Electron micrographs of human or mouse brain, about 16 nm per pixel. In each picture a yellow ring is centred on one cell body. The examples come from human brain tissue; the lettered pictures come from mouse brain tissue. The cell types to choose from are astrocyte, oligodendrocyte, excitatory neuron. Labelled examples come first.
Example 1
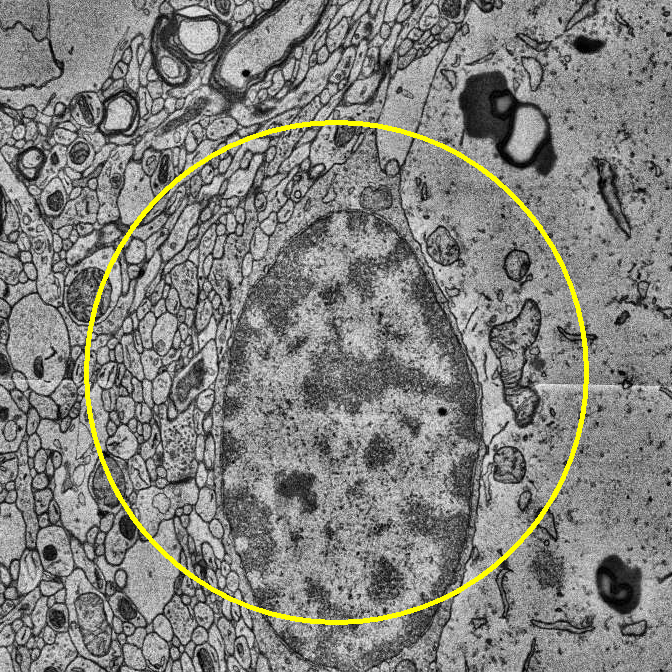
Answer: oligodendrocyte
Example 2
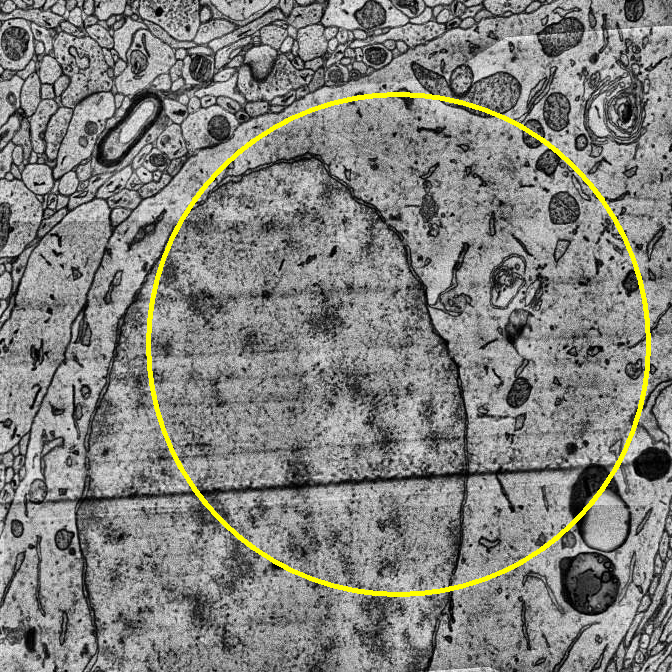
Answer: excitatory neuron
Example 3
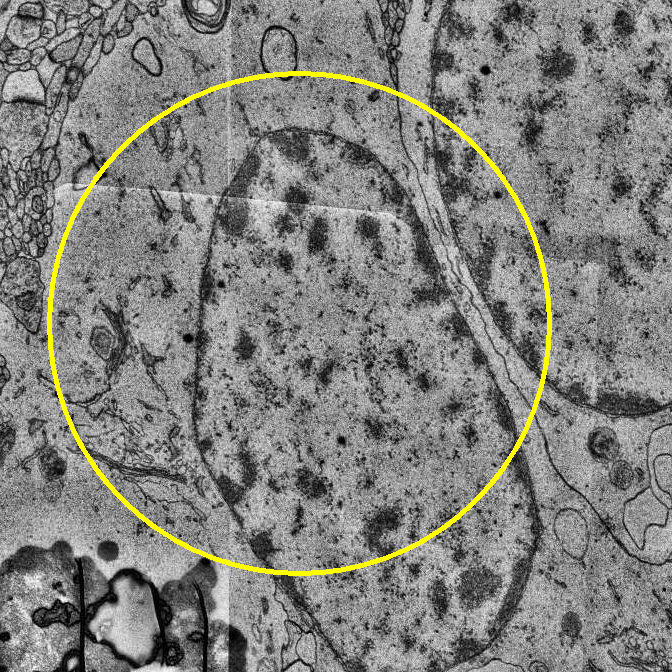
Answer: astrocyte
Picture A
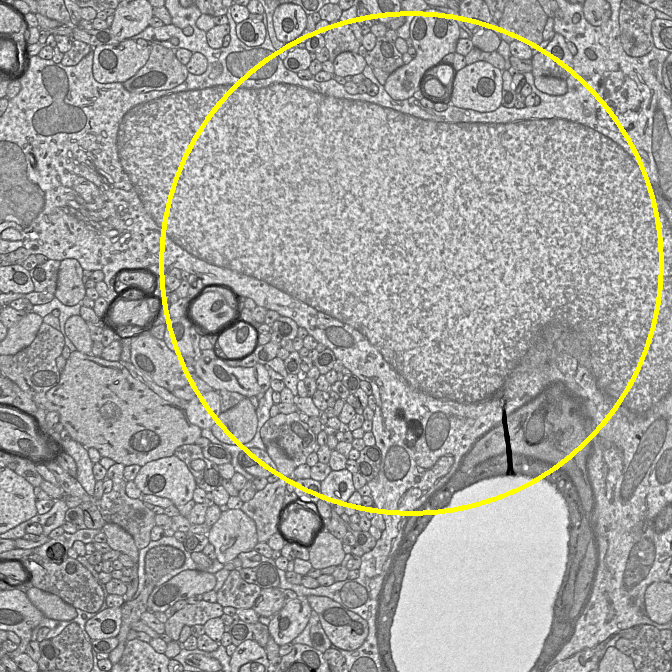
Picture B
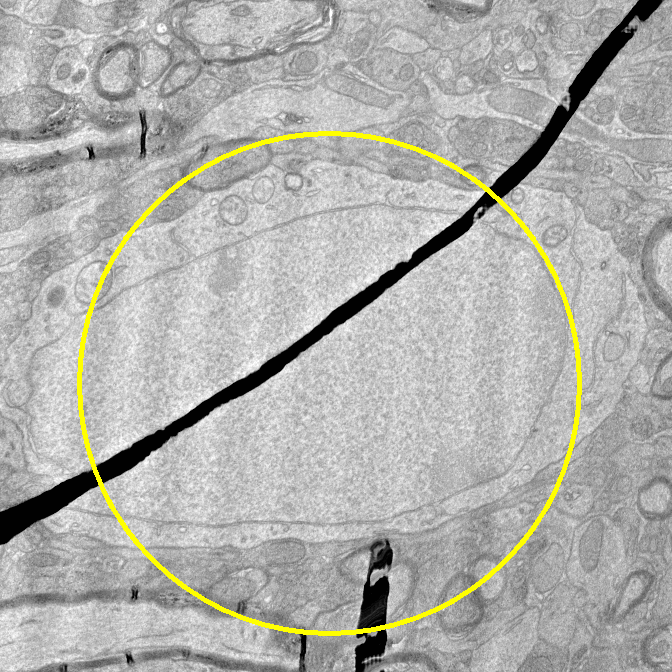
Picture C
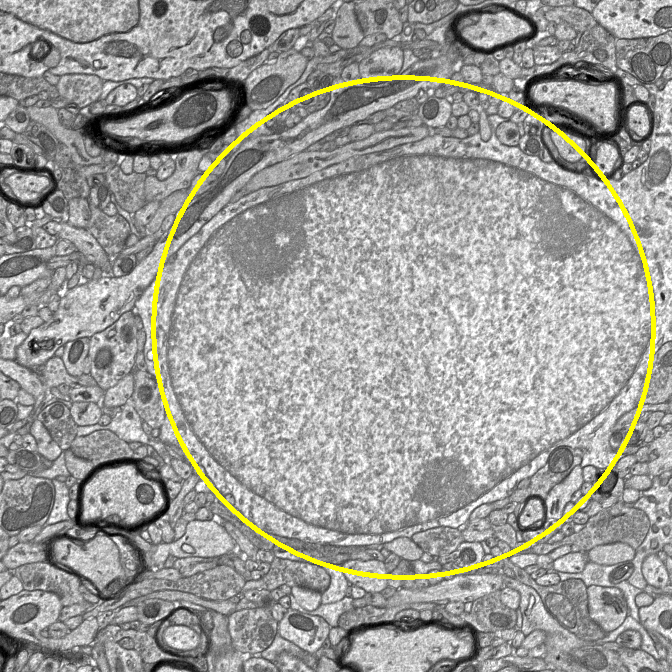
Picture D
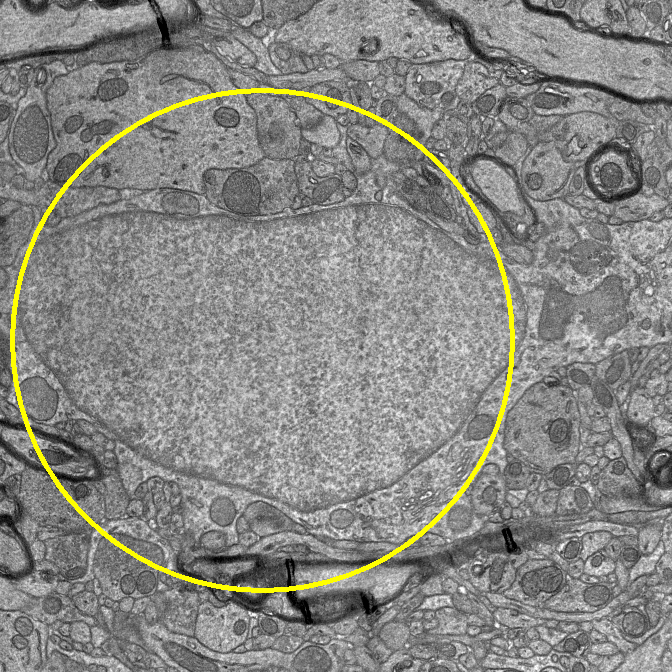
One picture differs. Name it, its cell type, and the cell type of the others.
B (excitatory neuron) is the exception; every other picture is astrocyte.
